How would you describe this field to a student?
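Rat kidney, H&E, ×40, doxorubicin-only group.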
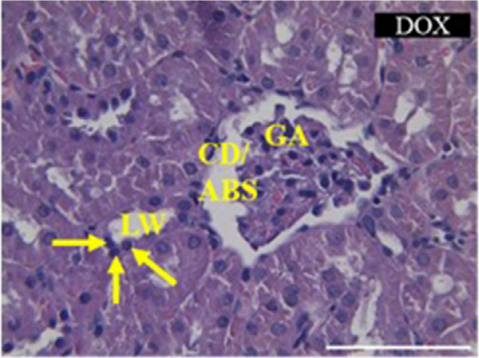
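Renal cortex with a glomerulus and surrounding tubules. The glomerular tuft is shrunken and lies eccentrically, separated from the capsule by a wide, irregular clear space; the capsule outline is distorted. Surrounding tubules are lined by cuboidal epithelium with pink granular cytoplasm and round purple nuclei; several tubular lumina are widened and clear. A tubular cell near a widened lumen has a small, dense, dark nucleus, unlike the paler round nuclei of its neighbours.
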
